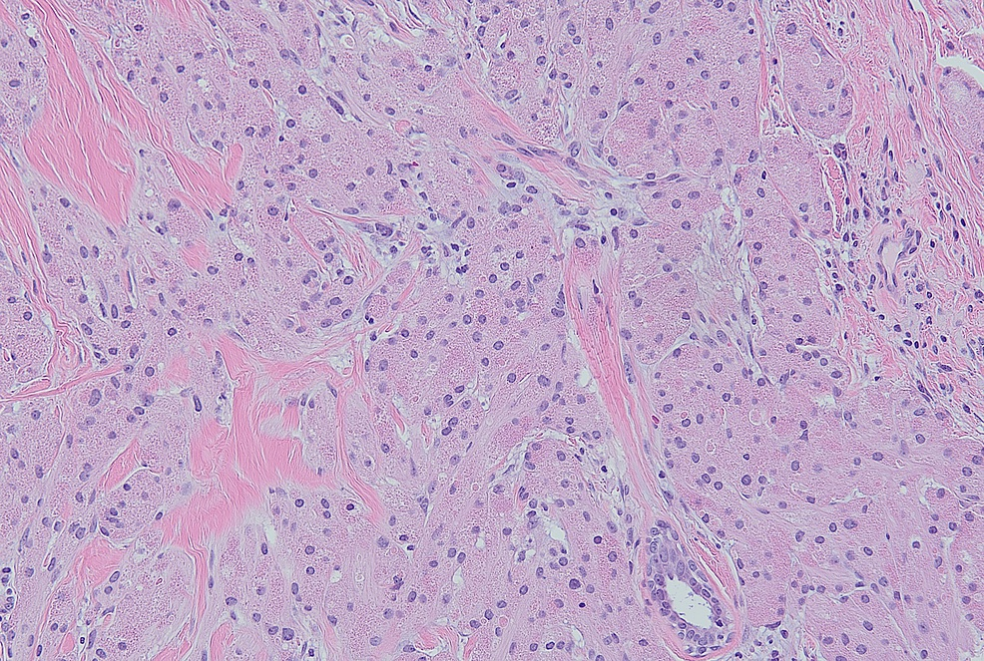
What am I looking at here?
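Granular cell tumor made of epithelioid cells in sheets, nests and cords. The cells are large and polygonal, with abundant pale pink, finely granular cytoplasm and indistinct borders. Their nuclei are small, round to oval, dark purple and mostly central, with little variation in size. The groups have irregular edges and extend between thick bands of bright pink collagen that cross the field in various directions, giving an infiltrative pattern without a capsule. Thin strands of stroma with spindle-shaped nuclei separate smaller clusters. Near the lower centre, a small duct lined by cuboidal cells lies among the granular cells.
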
